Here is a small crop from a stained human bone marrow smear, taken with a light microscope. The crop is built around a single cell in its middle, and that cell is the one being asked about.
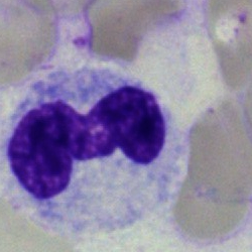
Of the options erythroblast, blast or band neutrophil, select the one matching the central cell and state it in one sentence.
This crop has a band neutrophil at its centre.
